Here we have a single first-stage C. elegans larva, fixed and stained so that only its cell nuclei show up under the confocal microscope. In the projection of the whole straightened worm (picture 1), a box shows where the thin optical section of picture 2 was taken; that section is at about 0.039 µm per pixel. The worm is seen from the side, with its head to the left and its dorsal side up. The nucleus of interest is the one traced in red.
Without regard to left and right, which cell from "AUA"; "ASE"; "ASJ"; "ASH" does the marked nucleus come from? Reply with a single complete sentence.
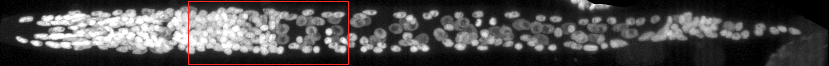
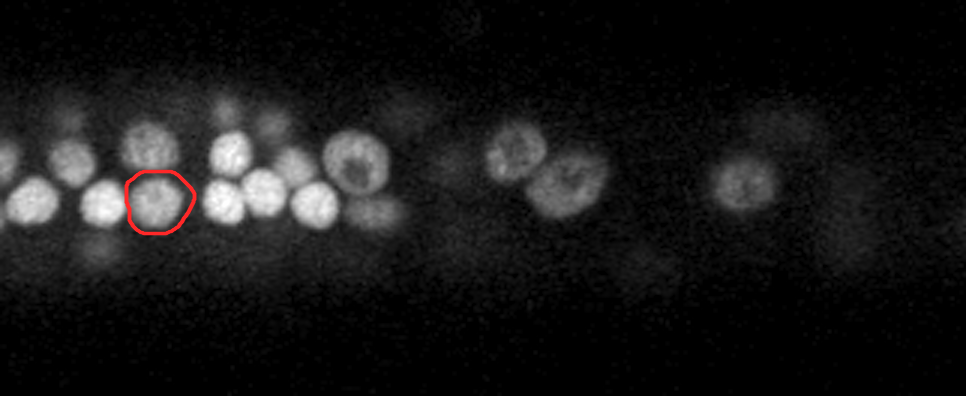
The marked nucleus is that of ASJ, a neuron.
